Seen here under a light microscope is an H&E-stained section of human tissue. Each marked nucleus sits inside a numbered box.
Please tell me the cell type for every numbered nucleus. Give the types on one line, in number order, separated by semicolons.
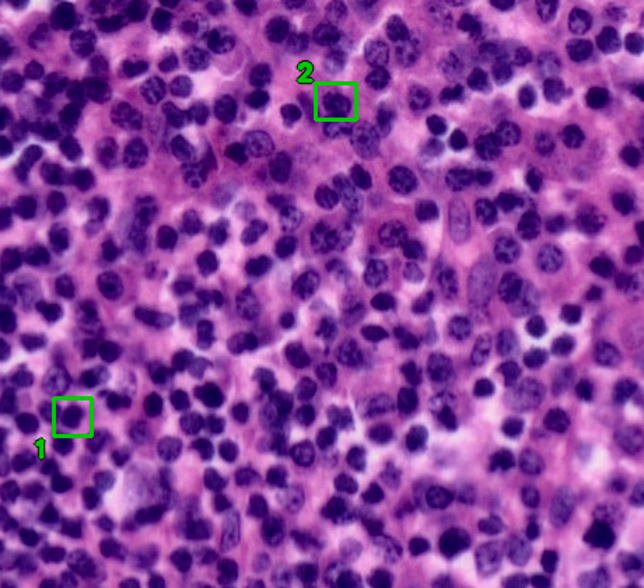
small lymphocyte; plasma cell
